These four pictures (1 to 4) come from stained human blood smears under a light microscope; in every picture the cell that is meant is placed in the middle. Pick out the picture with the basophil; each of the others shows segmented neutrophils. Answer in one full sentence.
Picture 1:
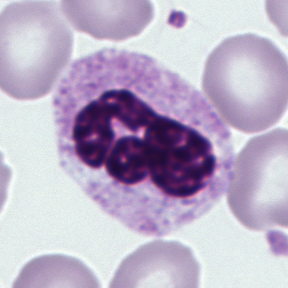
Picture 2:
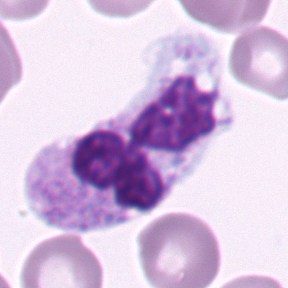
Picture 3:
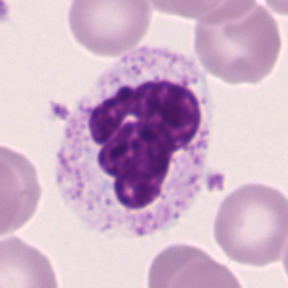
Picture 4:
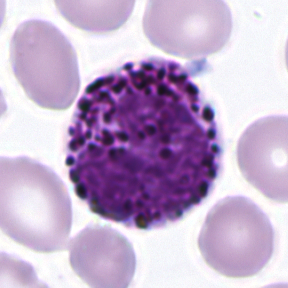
Picture 4 shows the basophil.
